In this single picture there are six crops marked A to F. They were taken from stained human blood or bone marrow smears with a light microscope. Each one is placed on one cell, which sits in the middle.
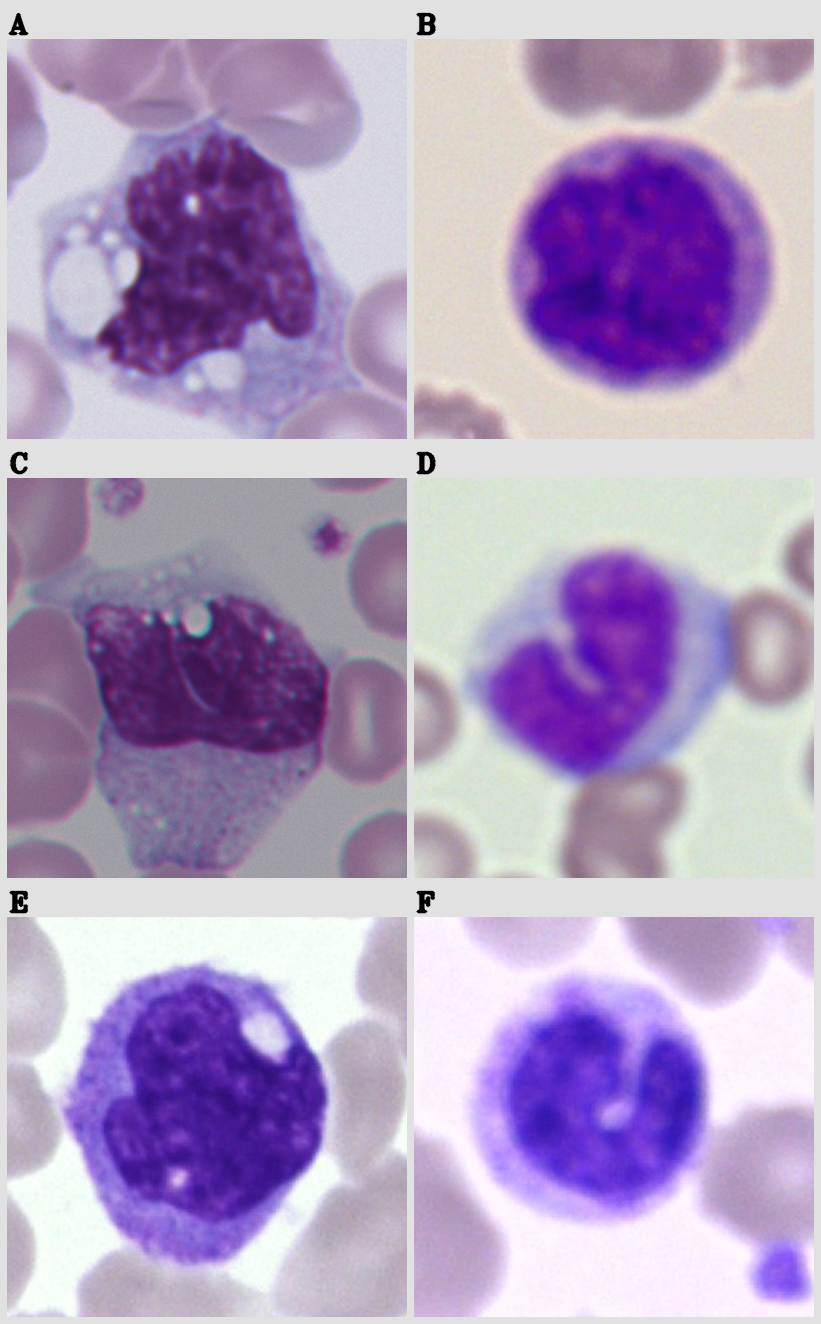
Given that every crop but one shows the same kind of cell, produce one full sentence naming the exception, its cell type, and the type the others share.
Just crop F is a band neutrophil; all the other crops show monocytes.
